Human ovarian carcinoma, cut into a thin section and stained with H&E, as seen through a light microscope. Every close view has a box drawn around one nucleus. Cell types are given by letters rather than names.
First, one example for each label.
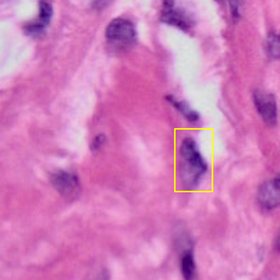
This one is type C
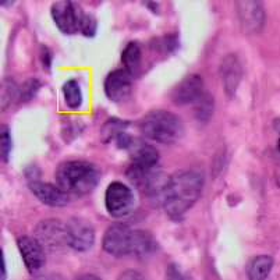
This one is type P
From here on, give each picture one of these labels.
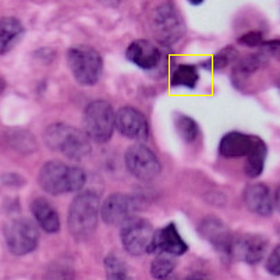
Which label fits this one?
type P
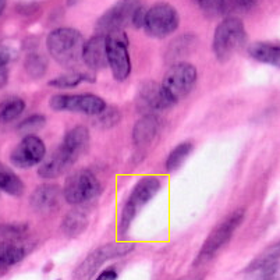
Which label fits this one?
type C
